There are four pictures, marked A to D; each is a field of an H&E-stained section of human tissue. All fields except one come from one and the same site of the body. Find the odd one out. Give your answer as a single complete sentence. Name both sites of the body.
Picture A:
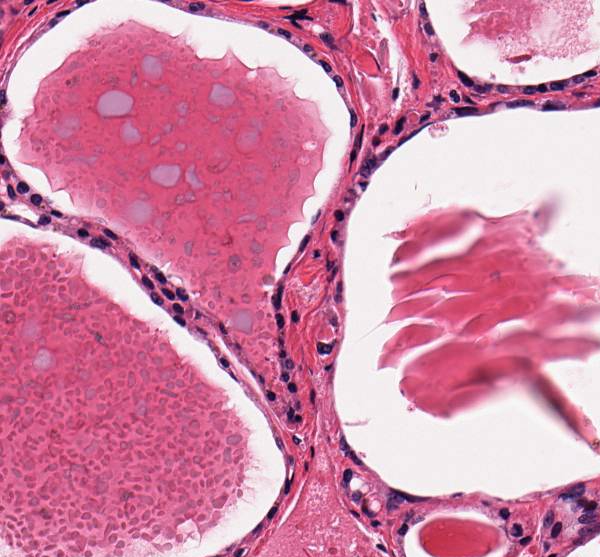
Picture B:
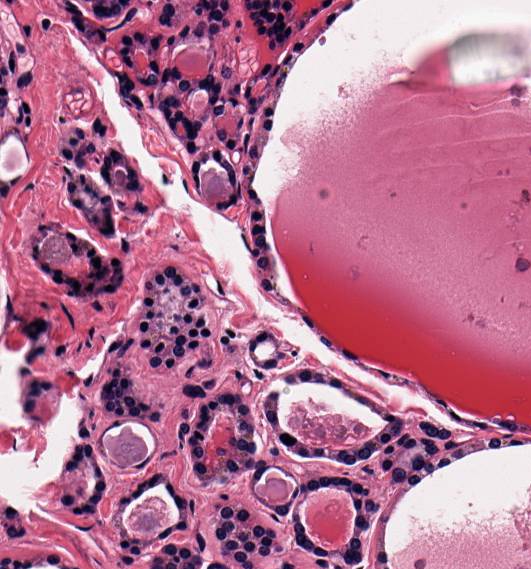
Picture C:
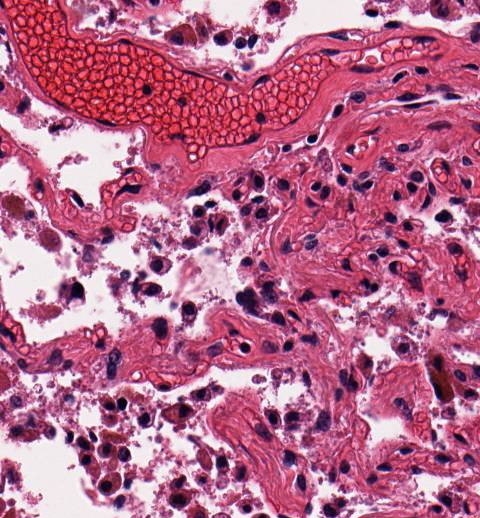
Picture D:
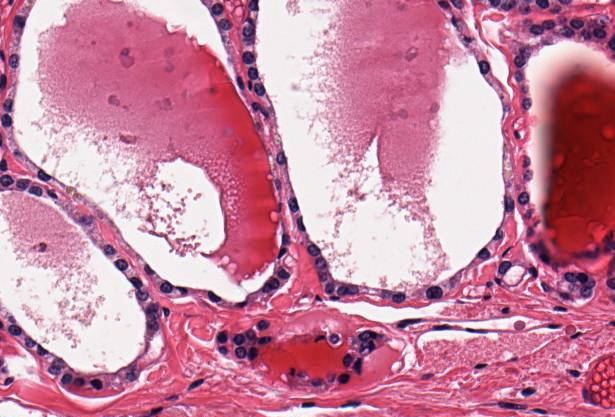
Picture C is the odd one out: it comes from the lung, while the others come from the thyroid.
